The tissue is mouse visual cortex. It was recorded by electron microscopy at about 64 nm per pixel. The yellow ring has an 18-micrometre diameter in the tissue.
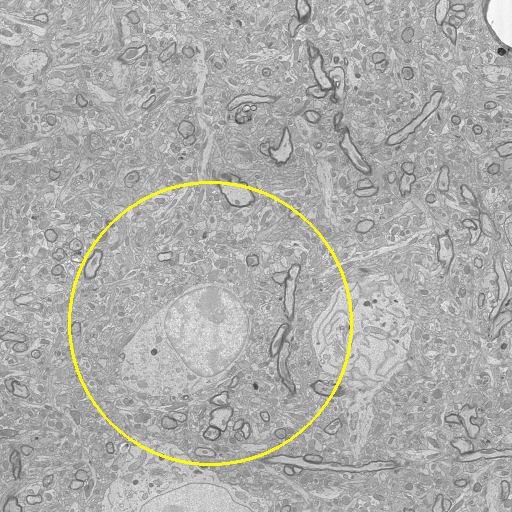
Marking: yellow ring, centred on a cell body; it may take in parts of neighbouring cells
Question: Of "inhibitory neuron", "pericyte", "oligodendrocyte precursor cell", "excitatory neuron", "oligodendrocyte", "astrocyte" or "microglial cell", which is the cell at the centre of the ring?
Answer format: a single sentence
The ring surrounds the body of an oligodendrocyte.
